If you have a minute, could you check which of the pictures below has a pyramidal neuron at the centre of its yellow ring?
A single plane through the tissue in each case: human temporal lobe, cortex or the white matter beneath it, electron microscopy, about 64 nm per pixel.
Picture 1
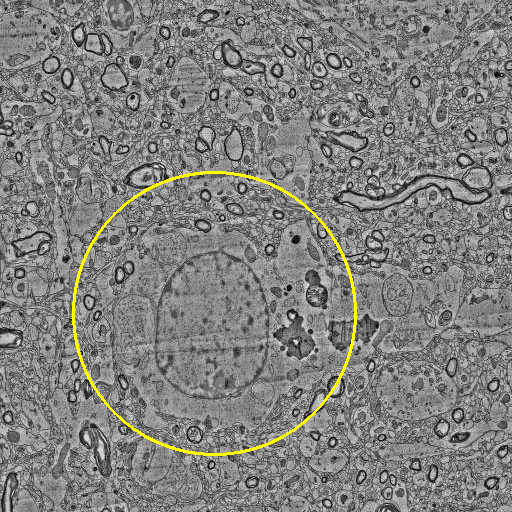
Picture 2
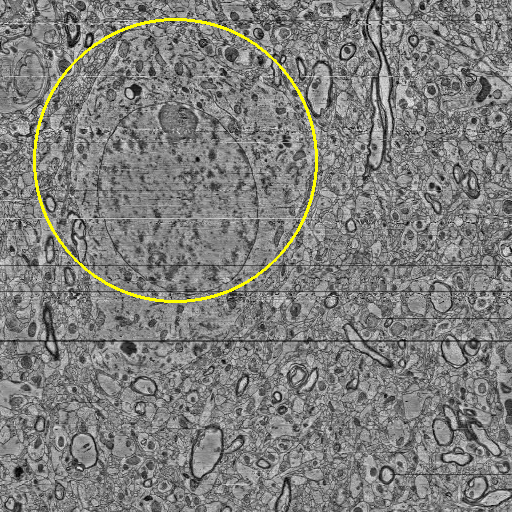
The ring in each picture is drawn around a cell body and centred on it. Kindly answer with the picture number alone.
2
